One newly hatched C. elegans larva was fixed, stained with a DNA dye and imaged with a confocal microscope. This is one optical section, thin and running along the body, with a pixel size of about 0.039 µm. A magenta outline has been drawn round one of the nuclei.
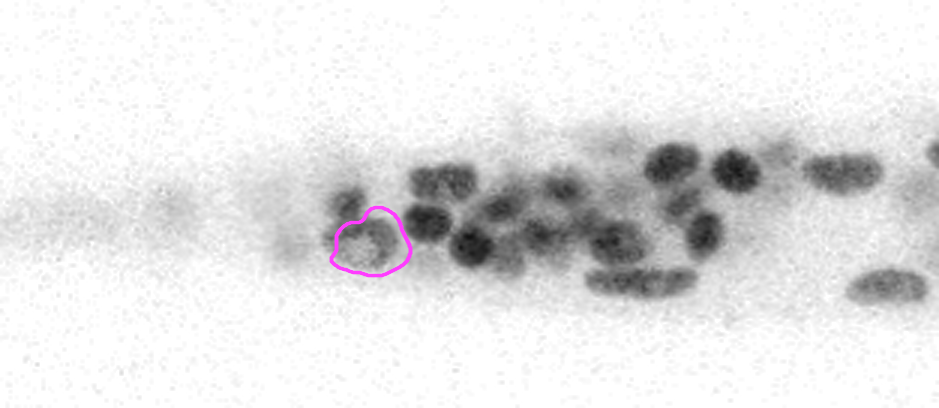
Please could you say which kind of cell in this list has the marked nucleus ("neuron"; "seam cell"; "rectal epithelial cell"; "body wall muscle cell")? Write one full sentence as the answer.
The nucleus comes from a seam cell.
